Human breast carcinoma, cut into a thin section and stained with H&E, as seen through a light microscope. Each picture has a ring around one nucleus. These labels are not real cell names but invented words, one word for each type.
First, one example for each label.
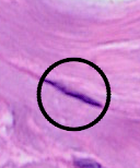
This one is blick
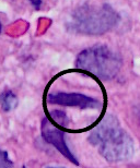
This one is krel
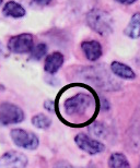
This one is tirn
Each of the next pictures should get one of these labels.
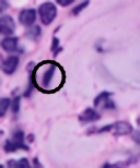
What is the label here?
tirn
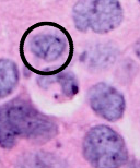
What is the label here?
krel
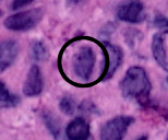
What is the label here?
krel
